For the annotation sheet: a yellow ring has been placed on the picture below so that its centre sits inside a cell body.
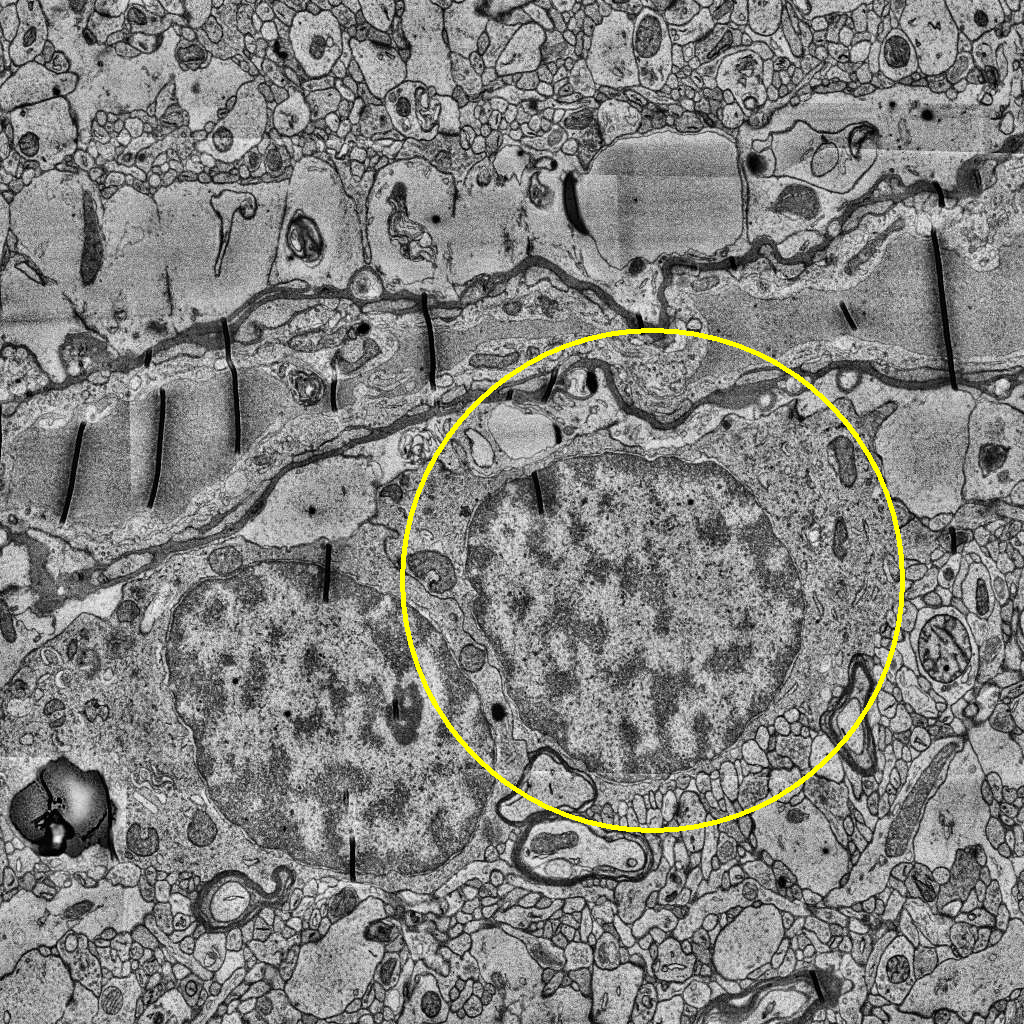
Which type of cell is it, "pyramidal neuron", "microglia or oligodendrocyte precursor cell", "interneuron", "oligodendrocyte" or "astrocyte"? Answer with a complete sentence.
The cell at the ring's centre is an oligodendrocyte.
